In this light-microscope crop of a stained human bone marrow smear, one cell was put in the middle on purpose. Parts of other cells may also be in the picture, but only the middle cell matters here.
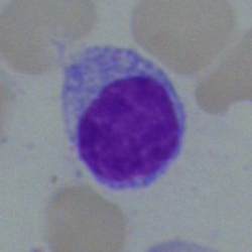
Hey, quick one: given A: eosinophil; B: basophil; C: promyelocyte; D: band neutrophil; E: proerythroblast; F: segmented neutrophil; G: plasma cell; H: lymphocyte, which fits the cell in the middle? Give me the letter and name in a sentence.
The right choice is option H: the cell in the middle is a lymphocyte.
